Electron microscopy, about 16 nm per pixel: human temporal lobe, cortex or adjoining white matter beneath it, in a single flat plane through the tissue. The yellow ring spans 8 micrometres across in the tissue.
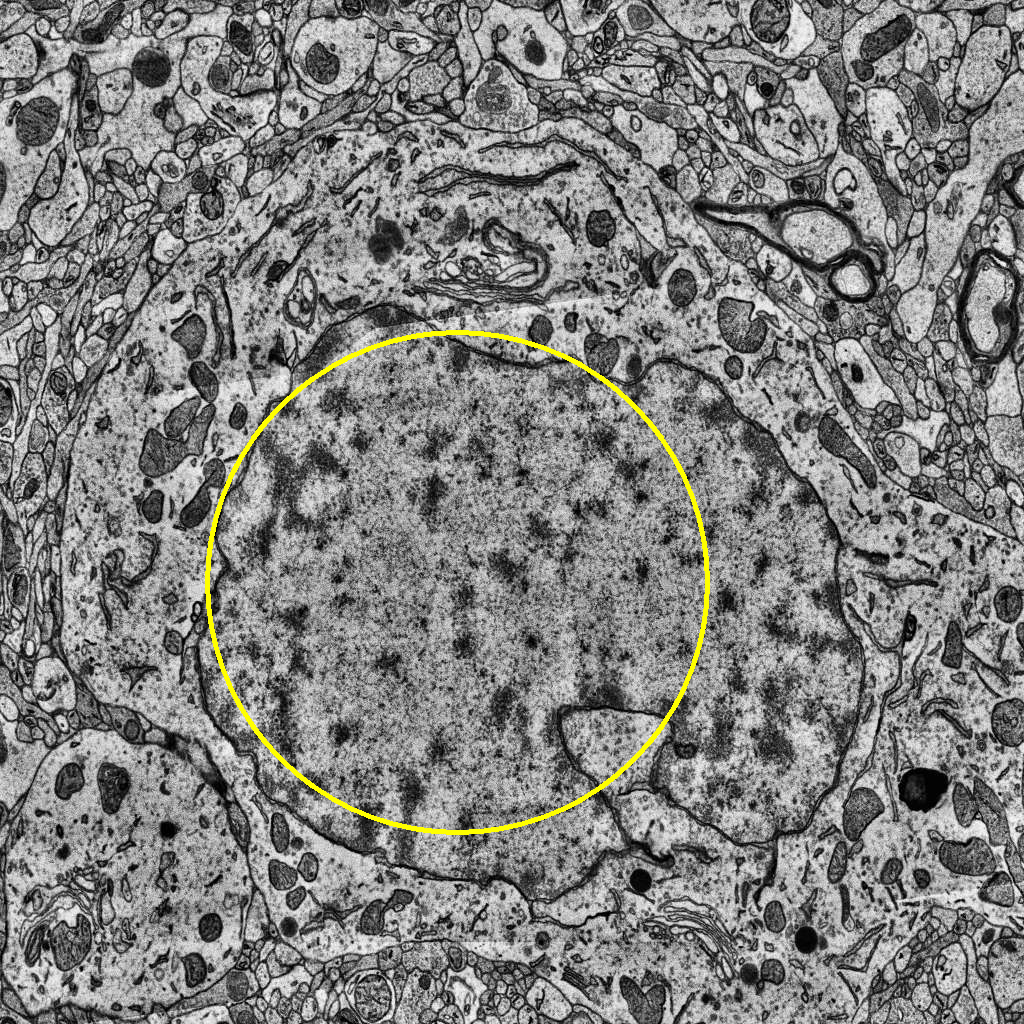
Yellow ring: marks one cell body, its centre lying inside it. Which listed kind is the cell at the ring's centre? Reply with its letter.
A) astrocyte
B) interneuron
B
